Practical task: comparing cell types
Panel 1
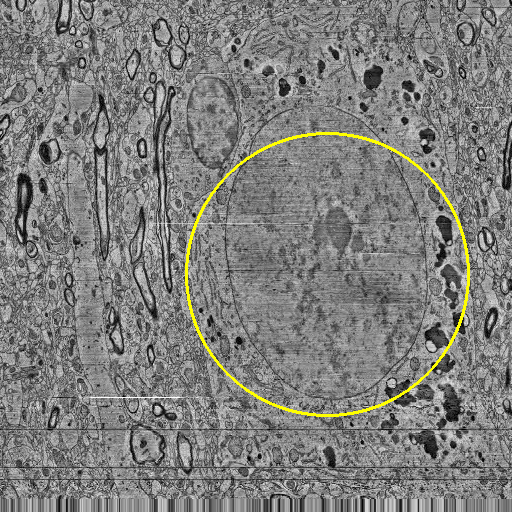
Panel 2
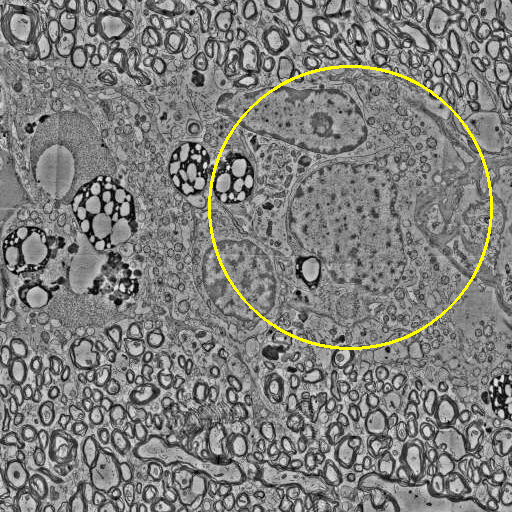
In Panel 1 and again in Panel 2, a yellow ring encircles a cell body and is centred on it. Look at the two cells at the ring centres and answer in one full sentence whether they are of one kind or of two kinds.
The two cells sitting at the ring centres of Panels 1 and 2 are of two kinds.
